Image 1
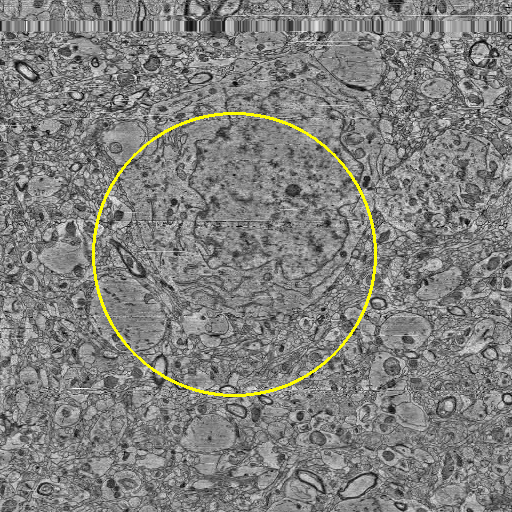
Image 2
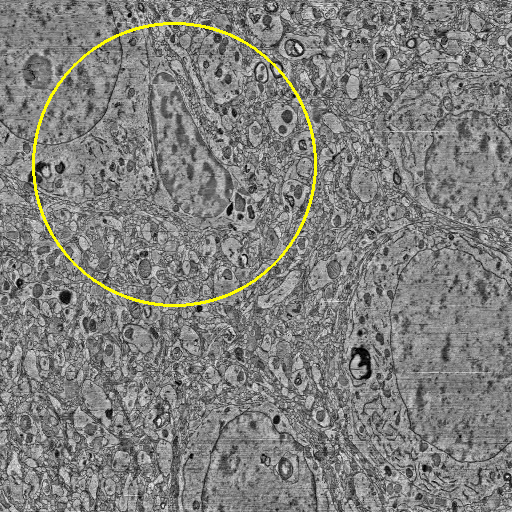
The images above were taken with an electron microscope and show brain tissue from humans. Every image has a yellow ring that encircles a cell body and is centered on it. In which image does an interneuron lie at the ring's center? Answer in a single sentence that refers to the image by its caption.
In Image 1, the cell at the center of the yellow ring is the correct match.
